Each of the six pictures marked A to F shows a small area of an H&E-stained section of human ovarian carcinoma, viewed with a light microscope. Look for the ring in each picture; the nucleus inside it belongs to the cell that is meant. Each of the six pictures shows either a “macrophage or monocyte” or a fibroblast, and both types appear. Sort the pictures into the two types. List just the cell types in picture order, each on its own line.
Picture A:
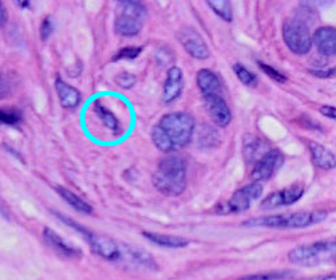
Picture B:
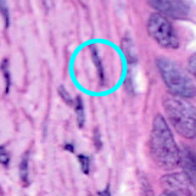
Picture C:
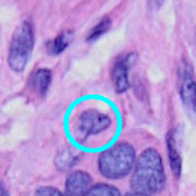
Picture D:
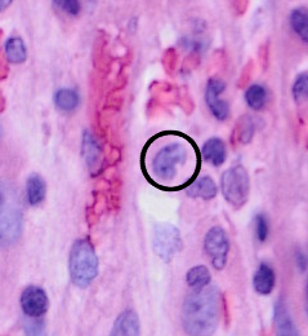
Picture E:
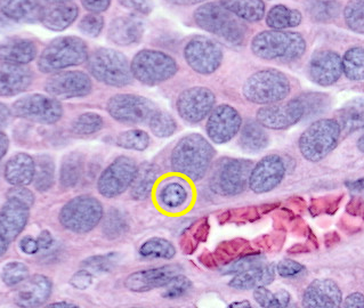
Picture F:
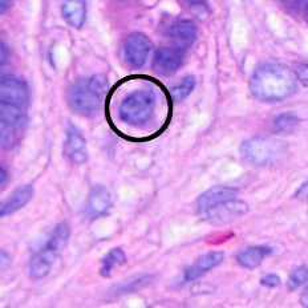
fibroblast
fibroblast
macrophage or monocyte
macrophage or monocyte
macrophage or monocyte
macrophage or monocyte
